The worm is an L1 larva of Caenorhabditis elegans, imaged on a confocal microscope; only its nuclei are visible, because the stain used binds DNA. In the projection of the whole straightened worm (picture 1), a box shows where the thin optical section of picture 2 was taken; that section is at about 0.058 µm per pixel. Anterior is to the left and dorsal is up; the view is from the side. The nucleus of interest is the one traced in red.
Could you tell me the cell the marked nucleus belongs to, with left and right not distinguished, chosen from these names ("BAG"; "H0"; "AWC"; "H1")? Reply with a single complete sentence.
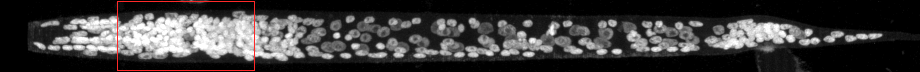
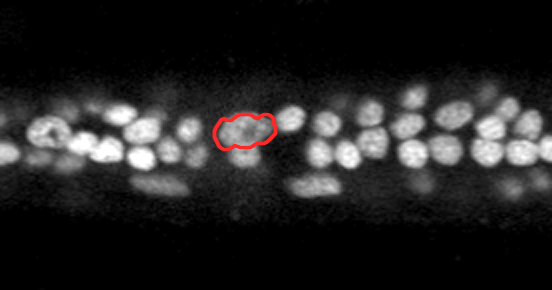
It belongs to H1, a seam cell.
